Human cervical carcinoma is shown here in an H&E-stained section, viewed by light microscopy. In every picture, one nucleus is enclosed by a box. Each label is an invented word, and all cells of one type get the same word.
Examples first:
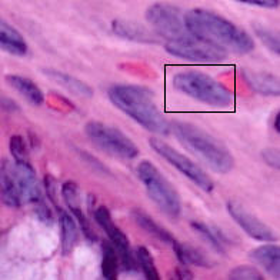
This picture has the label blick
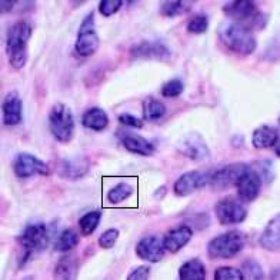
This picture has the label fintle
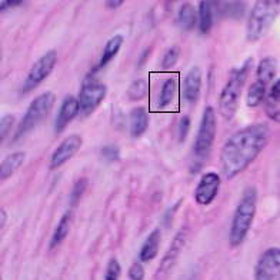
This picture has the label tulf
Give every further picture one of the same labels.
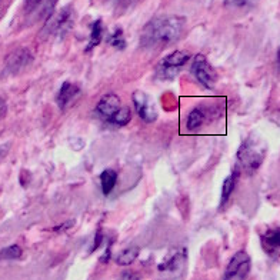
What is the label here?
blick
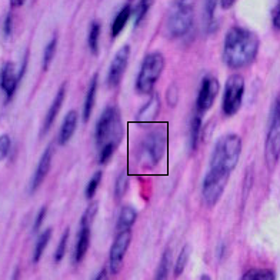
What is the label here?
blick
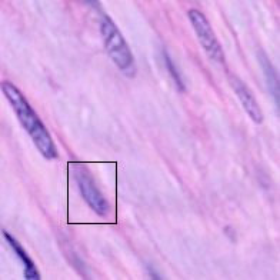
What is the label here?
tulf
